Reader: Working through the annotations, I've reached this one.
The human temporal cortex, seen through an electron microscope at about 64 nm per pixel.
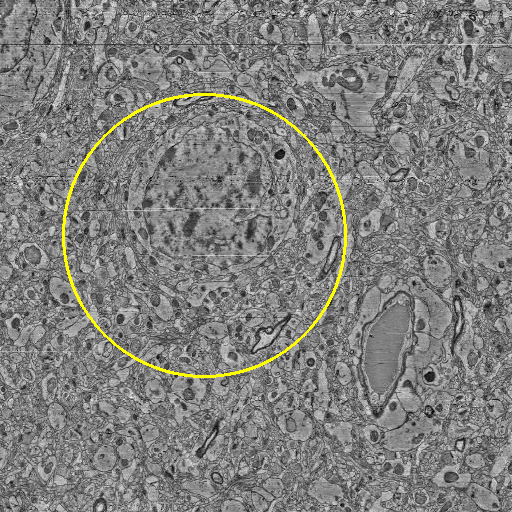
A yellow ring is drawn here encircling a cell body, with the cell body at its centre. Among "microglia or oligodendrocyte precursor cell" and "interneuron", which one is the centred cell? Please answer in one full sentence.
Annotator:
The cell body at the centre of the yellow ring in this image belongs to an interneuron.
